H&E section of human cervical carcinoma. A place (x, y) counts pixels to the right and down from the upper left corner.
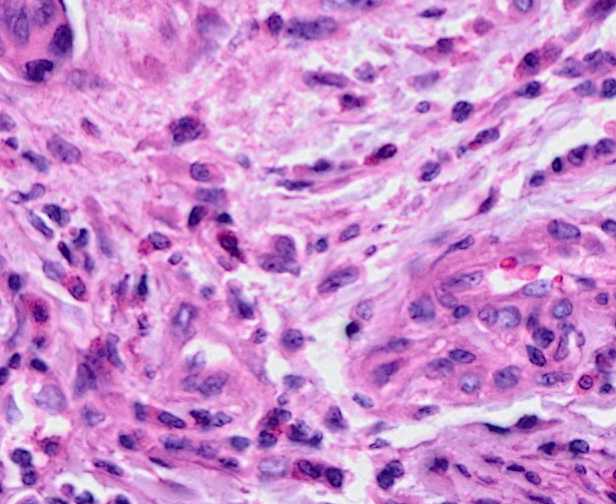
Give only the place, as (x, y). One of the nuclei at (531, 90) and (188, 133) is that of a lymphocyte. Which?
(531, 90)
